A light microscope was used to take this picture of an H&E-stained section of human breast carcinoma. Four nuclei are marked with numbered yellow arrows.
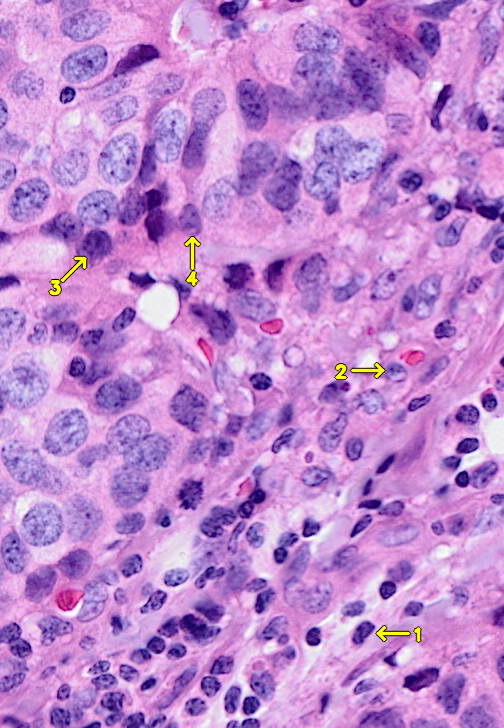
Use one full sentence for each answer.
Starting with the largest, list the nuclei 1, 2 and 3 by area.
Going from the biggest nucleus down to the smallest gives 3, 1, 2.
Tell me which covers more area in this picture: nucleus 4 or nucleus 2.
At about 2 times the area of nucleus 2, nucleus 4 is the larger of the two.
